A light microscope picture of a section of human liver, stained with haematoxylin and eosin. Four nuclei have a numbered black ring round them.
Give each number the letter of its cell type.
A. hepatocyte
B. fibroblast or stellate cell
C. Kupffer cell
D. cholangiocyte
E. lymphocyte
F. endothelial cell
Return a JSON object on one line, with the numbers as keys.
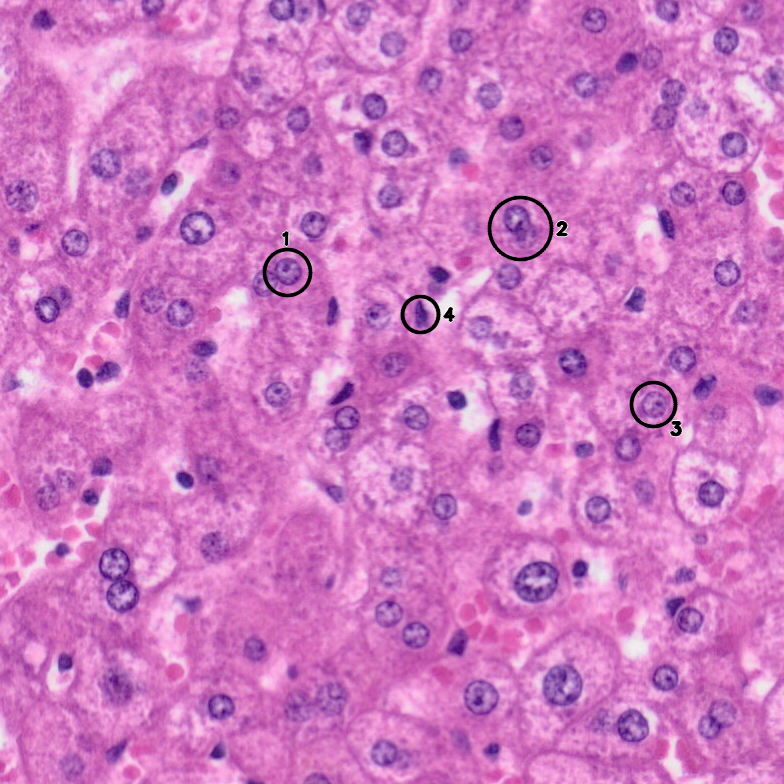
{"1": "A", "2": "A", "3": "A", "4": "F"}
